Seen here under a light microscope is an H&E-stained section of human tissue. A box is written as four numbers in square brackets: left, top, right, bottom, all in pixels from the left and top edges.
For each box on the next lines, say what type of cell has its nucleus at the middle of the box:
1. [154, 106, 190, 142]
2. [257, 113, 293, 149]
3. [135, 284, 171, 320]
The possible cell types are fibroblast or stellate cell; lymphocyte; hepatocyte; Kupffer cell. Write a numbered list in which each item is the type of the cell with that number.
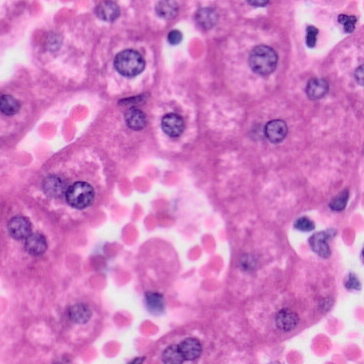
1. hepatocyte
2. hepatocyte
3. fibroblast or stellate cell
